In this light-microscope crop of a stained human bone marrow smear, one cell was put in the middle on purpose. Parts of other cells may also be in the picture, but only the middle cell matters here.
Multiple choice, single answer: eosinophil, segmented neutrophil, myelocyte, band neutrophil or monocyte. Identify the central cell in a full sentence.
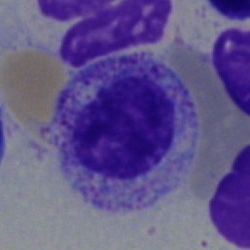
Looking at the middle of the crop, the cell there is a myelocyte.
